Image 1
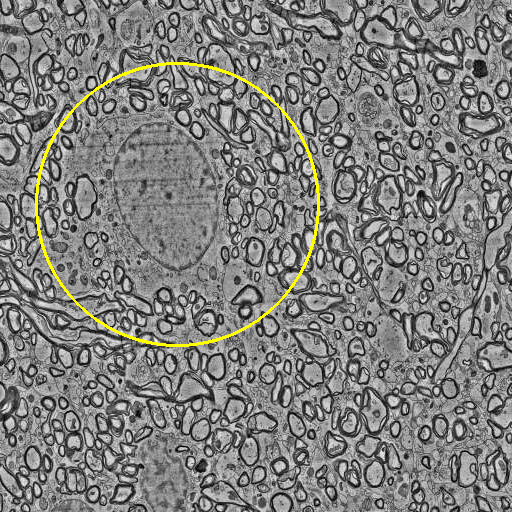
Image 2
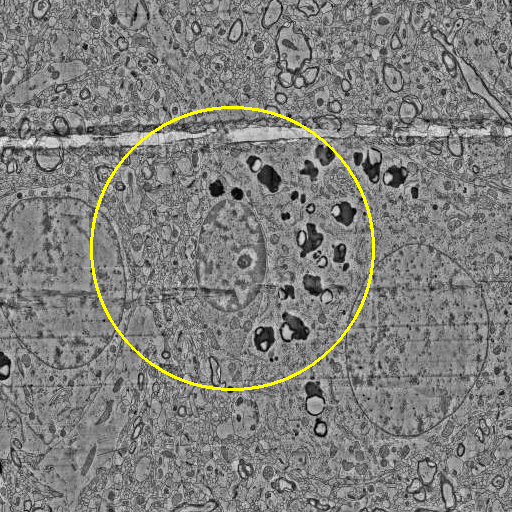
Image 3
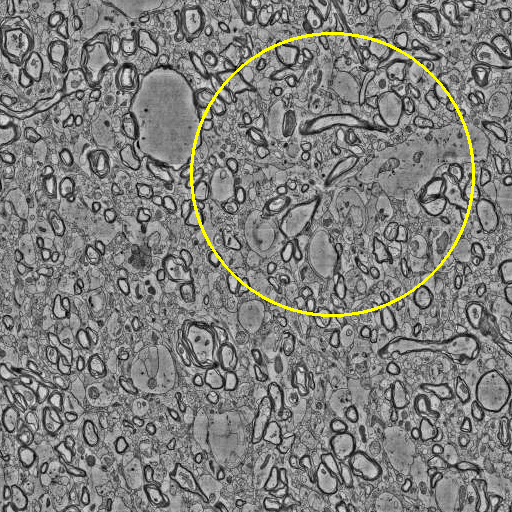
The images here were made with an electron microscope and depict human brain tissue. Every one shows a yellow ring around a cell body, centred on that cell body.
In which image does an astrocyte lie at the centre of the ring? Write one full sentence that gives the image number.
My answer is image 1, where the asked-for cell sits at the centre of the ring.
